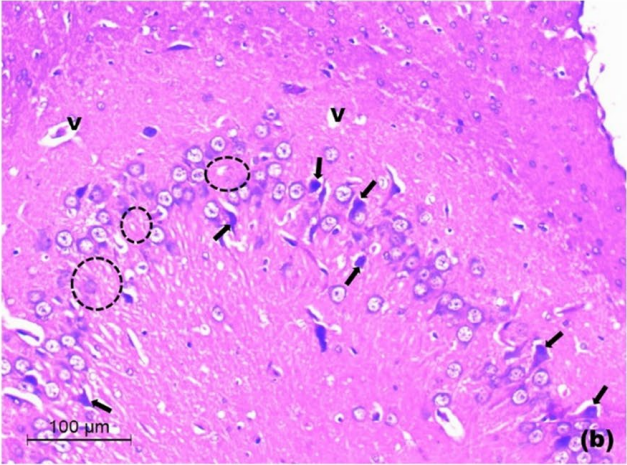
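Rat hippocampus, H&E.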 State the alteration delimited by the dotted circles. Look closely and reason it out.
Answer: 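Neuronal loss. The circled areas are gaps inside the band of neurons. The circles hold pale neuropil with few or no nuclei.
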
